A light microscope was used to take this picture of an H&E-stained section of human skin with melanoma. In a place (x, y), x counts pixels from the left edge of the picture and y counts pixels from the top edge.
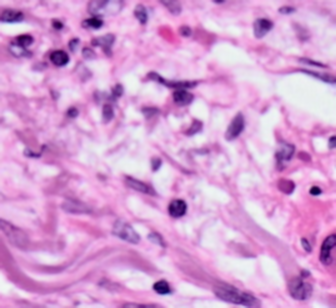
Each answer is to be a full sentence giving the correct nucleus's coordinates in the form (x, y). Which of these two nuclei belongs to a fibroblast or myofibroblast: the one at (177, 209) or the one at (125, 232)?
The nucleus contained in a fibroblast or myofibroblast is the one at (125, 232).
